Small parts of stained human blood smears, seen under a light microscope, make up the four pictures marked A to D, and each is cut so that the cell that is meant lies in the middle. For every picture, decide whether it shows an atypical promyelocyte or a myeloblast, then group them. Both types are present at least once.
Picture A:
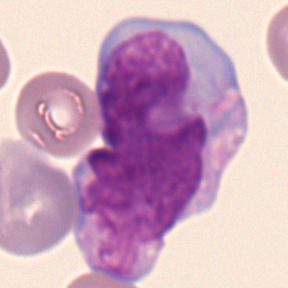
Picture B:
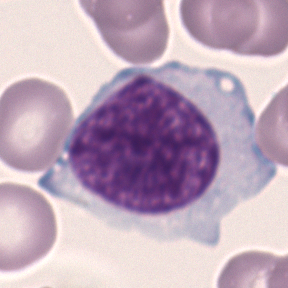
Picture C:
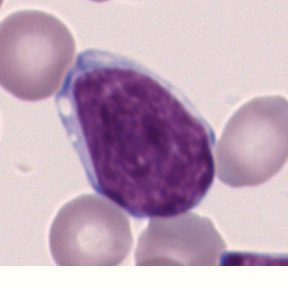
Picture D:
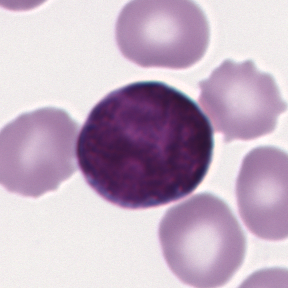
A: atypical promyelocyte
B: myeloblast
C: myeloblast
D: myeloblast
